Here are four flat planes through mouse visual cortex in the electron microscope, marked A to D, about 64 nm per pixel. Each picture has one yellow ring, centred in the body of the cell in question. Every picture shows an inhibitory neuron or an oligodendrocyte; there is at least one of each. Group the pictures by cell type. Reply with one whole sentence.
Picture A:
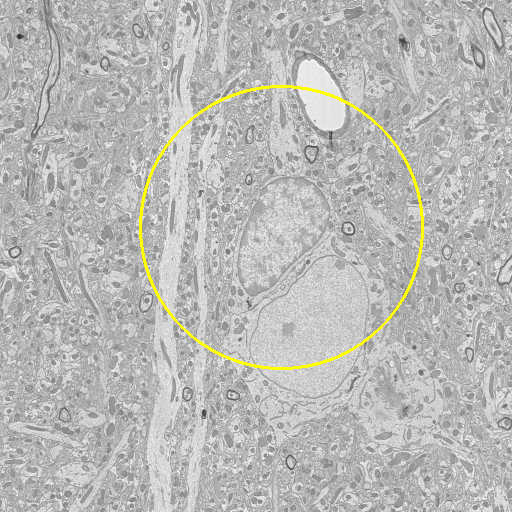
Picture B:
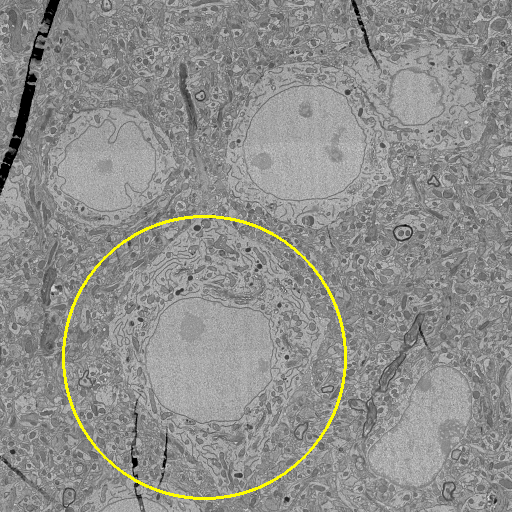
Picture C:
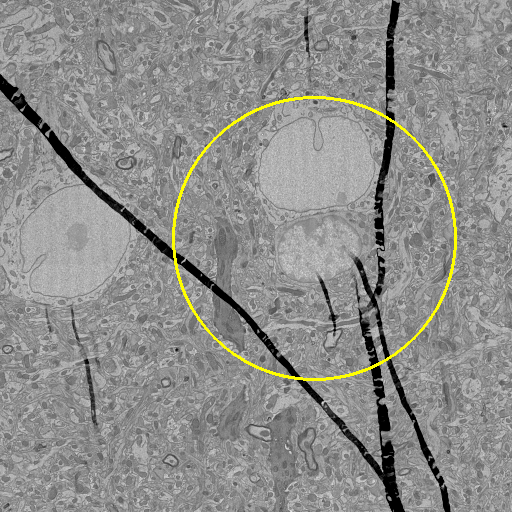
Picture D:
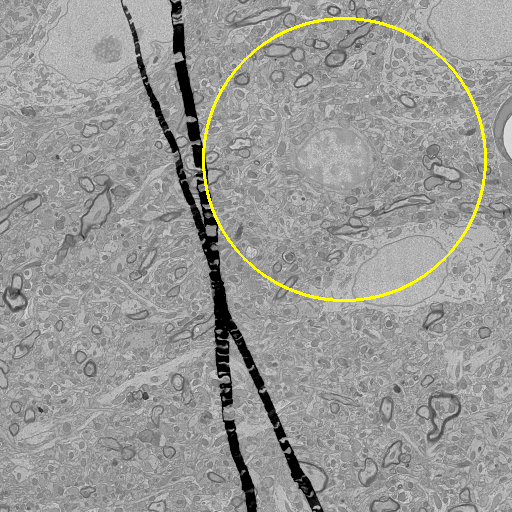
Picture B shows an inhibitory neuron; pictures A, C and D show oligodendrocytes.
